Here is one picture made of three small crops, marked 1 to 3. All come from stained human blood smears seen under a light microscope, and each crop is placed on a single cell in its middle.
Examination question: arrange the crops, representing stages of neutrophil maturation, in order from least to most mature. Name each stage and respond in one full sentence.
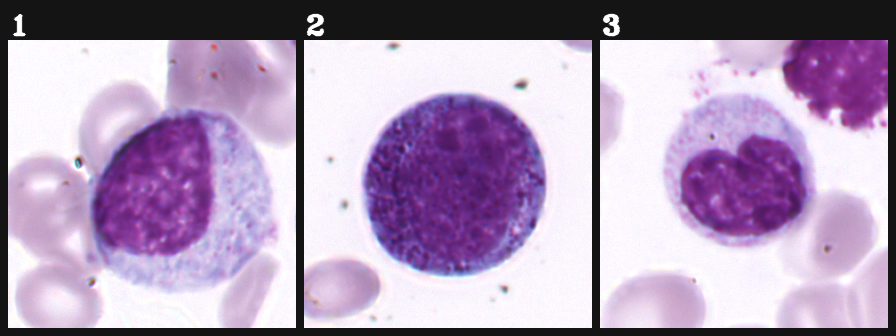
Ordered by maturity, from least to most, the crops are crop 2 (a promyelocyte), crop 1 (a myelocyte) and crop 3 (a metamyelocyte).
